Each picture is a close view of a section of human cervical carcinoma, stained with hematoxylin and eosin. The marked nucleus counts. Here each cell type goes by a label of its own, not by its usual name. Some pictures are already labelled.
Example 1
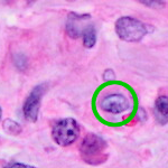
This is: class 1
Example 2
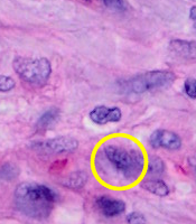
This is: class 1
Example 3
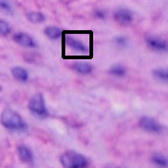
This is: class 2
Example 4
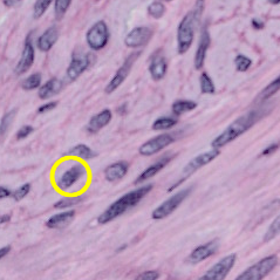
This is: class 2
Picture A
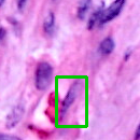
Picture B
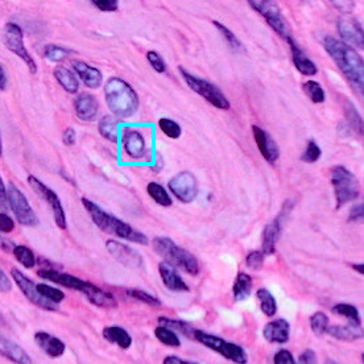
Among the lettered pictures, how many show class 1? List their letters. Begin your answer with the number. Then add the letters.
2: A, B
